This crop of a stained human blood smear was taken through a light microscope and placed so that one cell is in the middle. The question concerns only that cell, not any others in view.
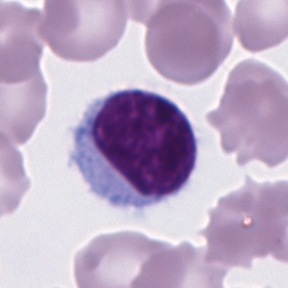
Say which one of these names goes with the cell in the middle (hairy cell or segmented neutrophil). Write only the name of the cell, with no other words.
hairy cell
